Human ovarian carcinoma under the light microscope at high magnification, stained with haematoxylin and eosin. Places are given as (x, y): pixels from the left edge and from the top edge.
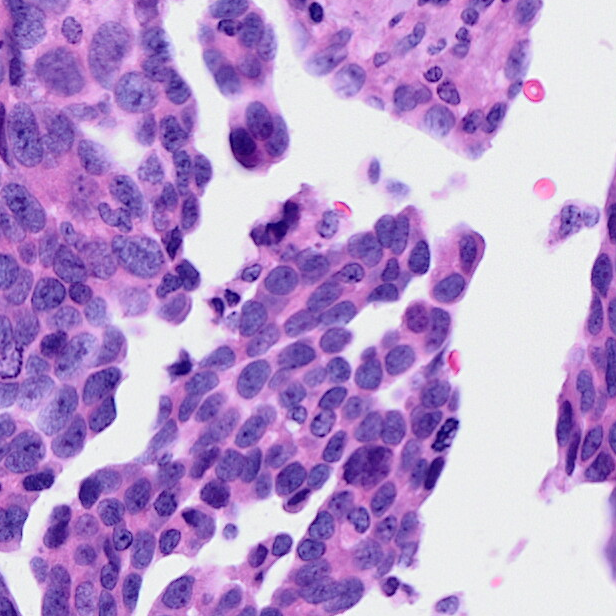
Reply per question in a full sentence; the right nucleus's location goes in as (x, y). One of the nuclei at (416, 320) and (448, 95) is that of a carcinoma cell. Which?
The nucleus belonging to a carcinoma cell is the one at (416, 320).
